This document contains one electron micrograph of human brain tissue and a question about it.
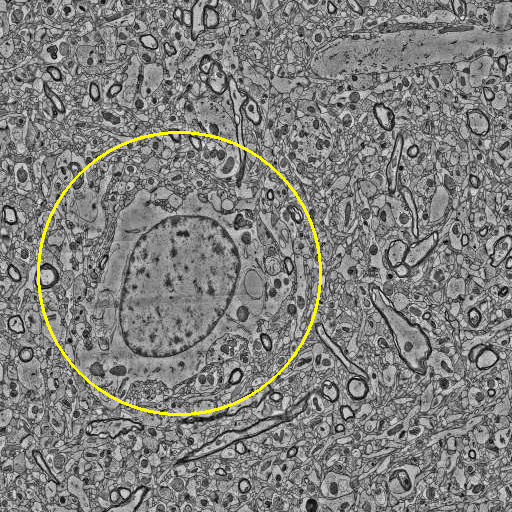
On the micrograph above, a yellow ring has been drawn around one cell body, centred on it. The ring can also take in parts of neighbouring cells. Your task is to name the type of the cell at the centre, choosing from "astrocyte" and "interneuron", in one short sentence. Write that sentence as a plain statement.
Here the ring is centred on an astrocyte.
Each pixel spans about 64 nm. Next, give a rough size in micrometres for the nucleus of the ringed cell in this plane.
In this plane the nucleus measures roughly 10 by 7 micrometres.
